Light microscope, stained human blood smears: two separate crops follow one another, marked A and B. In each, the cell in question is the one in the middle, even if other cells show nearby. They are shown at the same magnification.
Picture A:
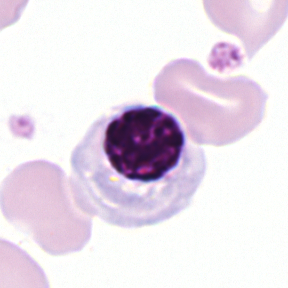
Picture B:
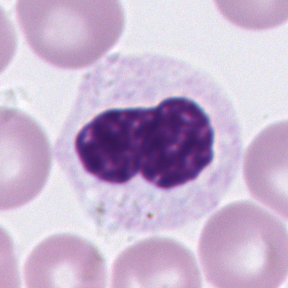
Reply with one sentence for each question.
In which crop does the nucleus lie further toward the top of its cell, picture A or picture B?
It is the nucleus in picture A that lies further toward the top of its cell.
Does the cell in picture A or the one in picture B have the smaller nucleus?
It is the nucleus in picture A; the one in picture B has about 2 times its area.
